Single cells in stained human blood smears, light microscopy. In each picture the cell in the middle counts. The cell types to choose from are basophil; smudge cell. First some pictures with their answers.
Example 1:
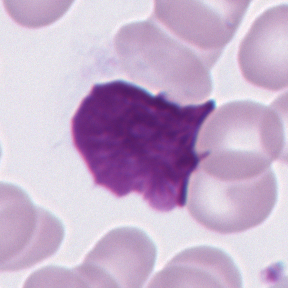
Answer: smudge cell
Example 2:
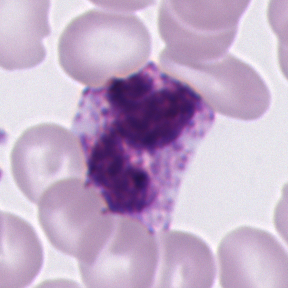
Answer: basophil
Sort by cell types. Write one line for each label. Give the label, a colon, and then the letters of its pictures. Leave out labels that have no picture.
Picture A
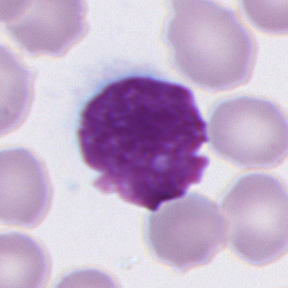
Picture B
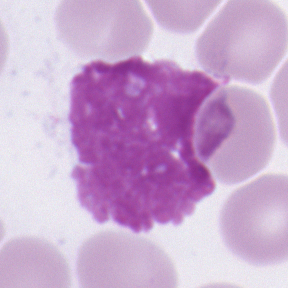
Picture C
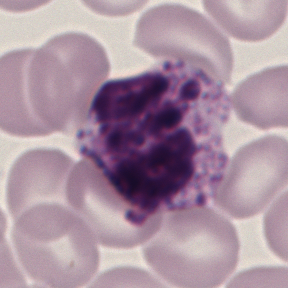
basophil: C
smudge cell: A, B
